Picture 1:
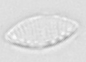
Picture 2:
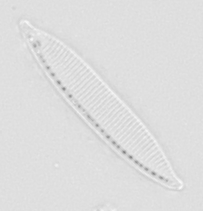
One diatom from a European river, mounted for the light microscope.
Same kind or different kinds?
Same: Nitzschia.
